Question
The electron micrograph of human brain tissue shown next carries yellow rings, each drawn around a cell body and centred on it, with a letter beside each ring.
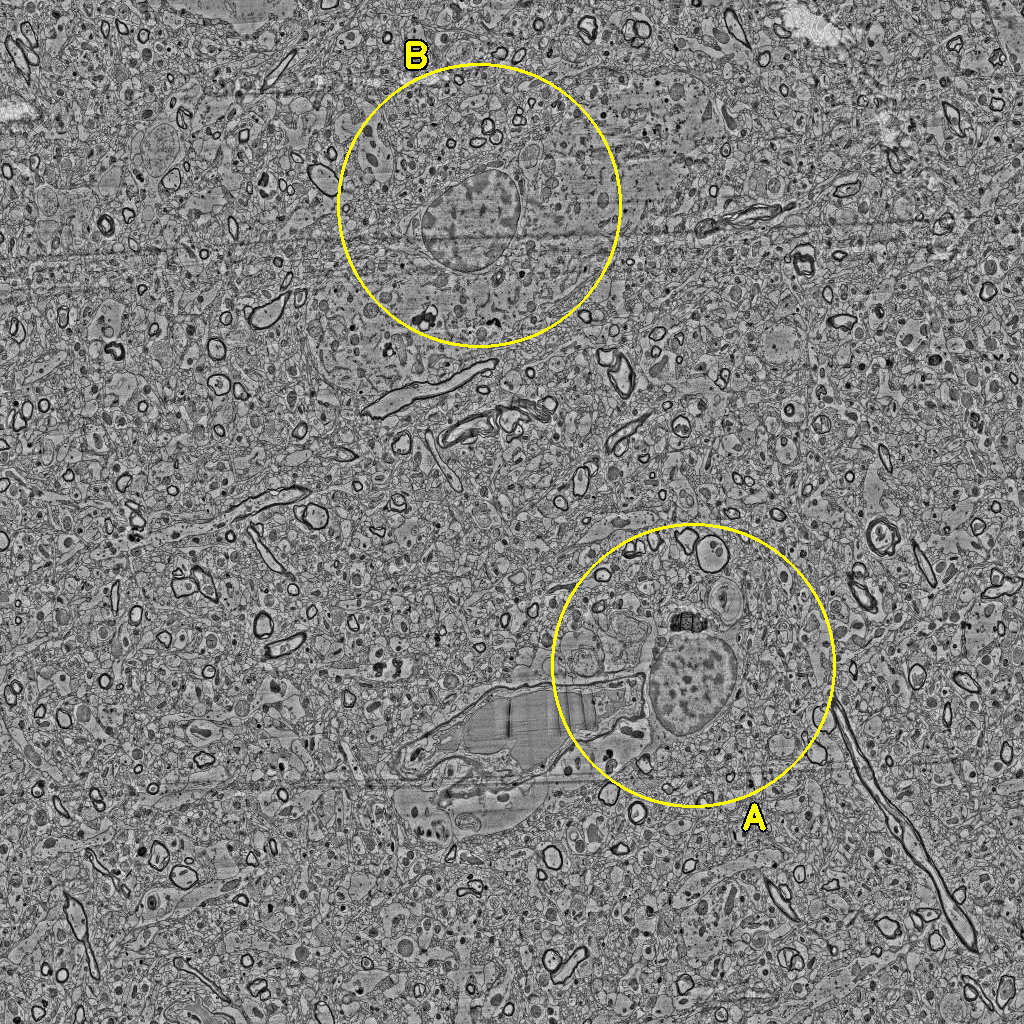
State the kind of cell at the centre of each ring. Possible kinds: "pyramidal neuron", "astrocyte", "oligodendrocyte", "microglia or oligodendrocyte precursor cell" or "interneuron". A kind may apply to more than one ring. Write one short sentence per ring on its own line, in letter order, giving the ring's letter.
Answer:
The cell centred in ring A is an oligodendrocyte.
The cell centred in ring B is a microglial cell or oligodendrocyte precursor cell.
